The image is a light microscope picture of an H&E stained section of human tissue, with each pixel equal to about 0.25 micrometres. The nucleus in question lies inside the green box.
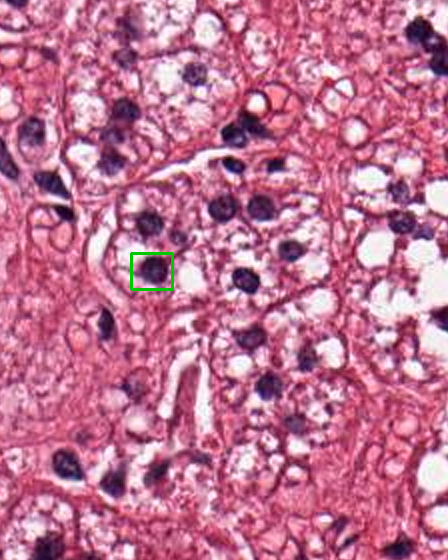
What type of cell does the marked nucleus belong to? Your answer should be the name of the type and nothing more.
adrenal cortical cell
